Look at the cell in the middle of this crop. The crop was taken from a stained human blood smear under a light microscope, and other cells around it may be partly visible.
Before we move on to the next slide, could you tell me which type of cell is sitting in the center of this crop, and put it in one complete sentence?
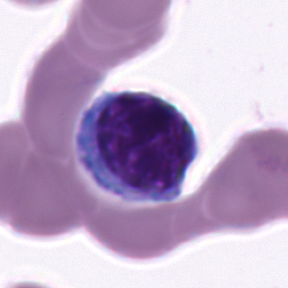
Standing at the centre of this crop is a plasma cell.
